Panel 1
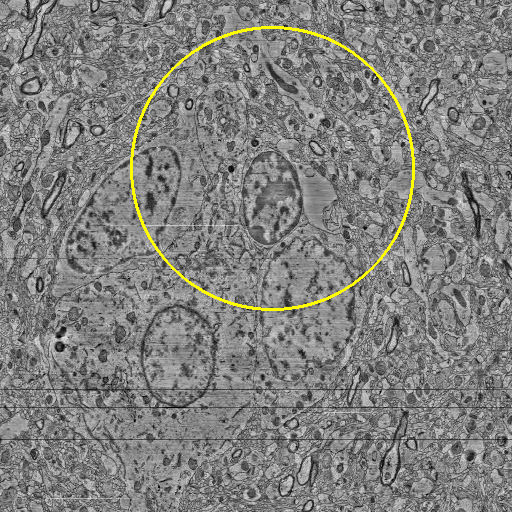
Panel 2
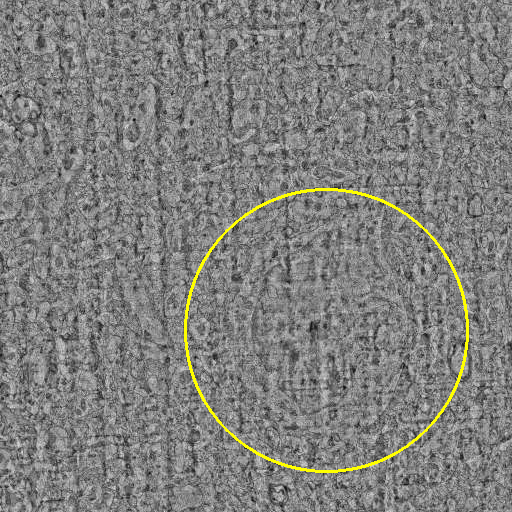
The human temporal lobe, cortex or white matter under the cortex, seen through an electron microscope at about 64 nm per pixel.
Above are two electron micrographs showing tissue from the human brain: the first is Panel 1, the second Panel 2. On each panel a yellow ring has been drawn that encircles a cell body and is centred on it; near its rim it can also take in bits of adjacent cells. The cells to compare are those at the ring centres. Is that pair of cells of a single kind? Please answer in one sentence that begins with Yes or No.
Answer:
No, the ring-centred cells of Panel 1 and Panel 2 belong to two kinds.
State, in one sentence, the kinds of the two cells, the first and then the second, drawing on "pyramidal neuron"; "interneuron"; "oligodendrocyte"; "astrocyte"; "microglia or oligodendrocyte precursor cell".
The ring in the second picture is centred on an interneuron, the ring in the first on a microglial cell or oligodendrocyte precursor cell.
